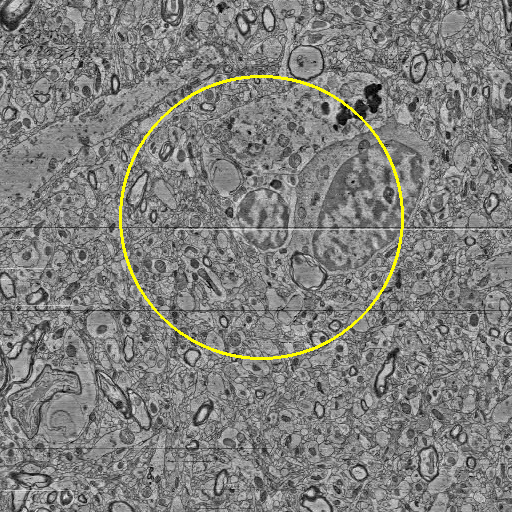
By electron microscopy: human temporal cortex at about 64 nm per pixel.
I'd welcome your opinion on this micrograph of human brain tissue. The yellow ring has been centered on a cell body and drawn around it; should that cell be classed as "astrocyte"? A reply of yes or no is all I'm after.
no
